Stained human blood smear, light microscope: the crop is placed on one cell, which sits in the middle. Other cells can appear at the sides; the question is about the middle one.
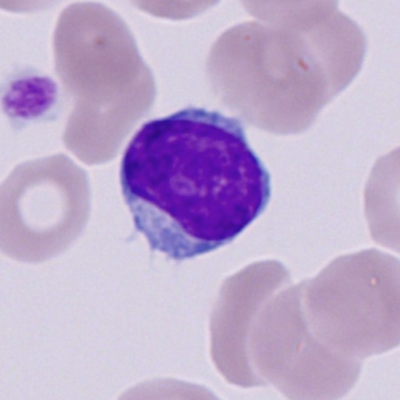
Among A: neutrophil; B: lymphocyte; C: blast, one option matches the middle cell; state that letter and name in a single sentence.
The central cell in this crop is a lymphocyte, so the correct choice is option B.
